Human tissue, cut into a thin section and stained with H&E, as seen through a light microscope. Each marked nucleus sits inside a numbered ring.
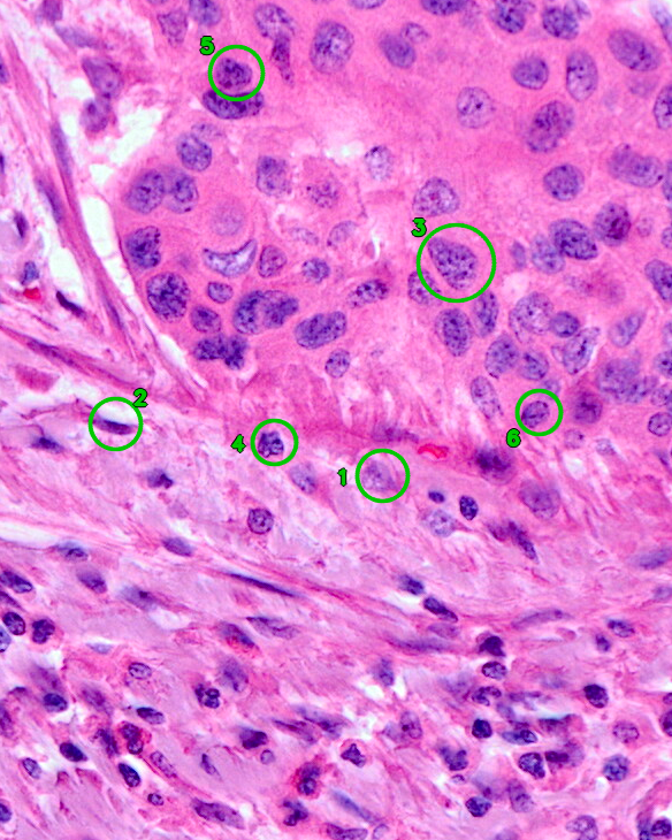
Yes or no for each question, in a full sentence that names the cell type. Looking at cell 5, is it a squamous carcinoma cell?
Yes, the cell with the mark numbered 5 is a squamous carcinoma cell.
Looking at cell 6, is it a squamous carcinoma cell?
Yes, the cell sitting at number 6 is a squamous carcinoma cell.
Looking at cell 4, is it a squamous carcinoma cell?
No, cell 4 is correctly identified as a lymphocyte and not as a squamous carcinoma cell.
